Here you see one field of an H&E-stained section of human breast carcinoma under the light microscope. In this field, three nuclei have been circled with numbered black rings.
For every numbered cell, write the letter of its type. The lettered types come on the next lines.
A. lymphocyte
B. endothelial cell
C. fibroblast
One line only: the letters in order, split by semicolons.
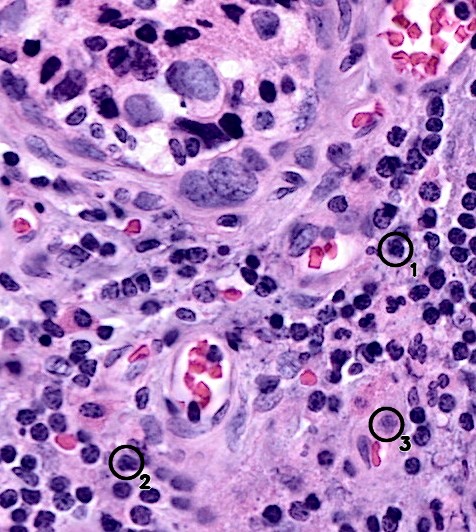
A; A; B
